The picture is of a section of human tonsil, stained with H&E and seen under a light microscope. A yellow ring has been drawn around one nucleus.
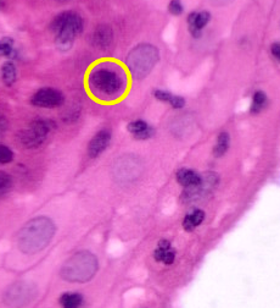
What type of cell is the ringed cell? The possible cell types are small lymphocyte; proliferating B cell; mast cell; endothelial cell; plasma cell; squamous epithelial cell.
squamous epithelial cell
